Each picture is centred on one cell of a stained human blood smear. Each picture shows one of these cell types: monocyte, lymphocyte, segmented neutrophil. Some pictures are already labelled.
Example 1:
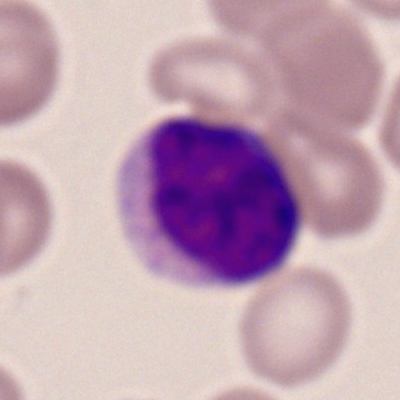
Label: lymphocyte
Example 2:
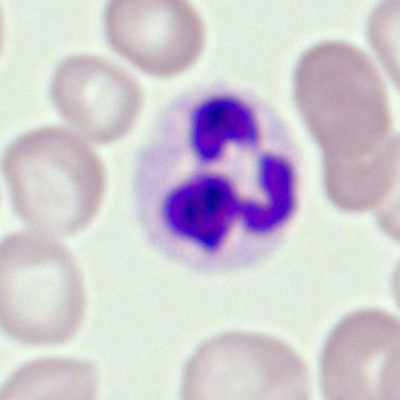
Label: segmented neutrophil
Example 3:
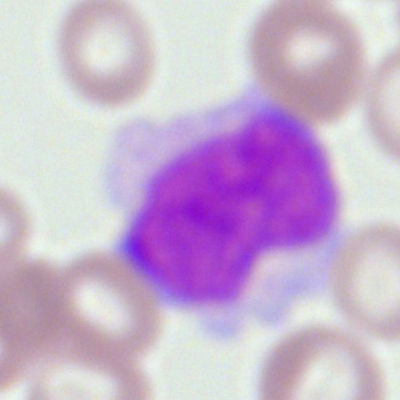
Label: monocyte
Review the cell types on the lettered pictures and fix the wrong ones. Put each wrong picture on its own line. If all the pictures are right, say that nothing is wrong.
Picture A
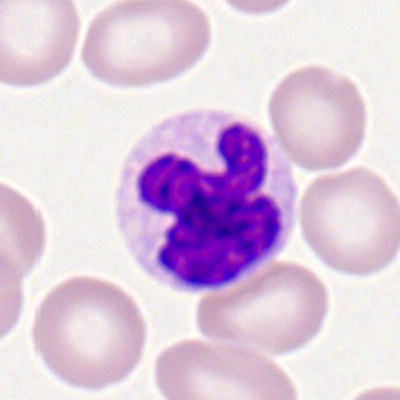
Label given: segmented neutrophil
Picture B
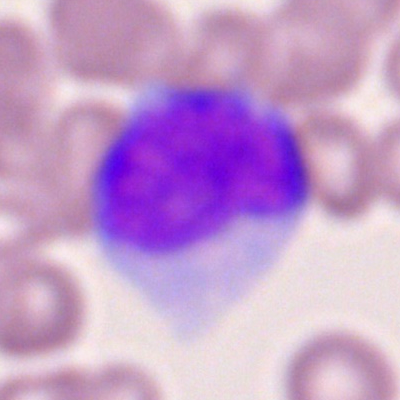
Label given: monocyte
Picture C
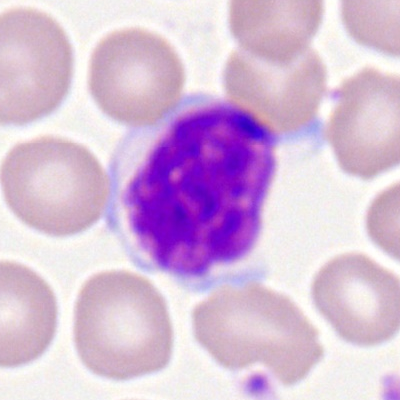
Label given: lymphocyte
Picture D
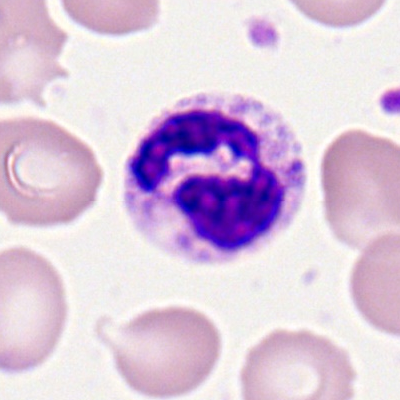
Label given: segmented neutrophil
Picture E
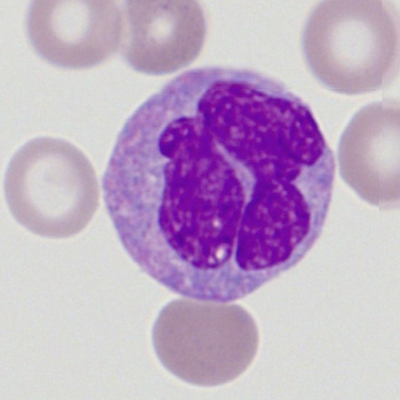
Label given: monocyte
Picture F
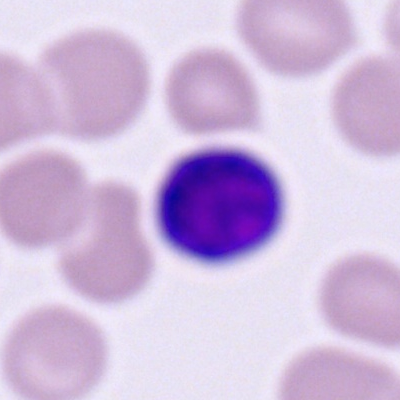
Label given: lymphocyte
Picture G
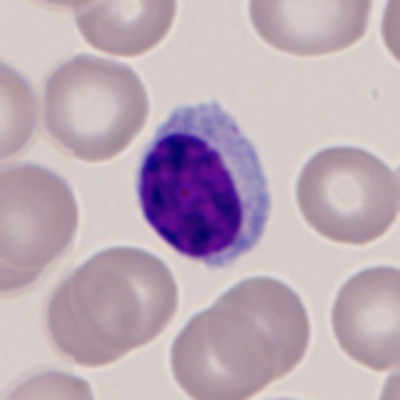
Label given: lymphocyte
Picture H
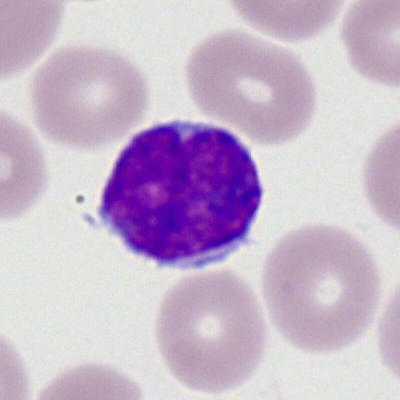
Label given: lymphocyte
Every label is right.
